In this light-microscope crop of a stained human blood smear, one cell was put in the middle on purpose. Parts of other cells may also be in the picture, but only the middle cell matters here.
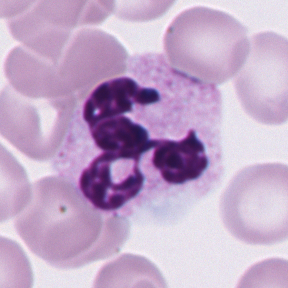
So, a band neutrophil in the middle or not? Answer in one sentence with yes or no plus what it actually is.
No; rather than a band neutrophil, the cell at the center is a segmented neutrophil.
